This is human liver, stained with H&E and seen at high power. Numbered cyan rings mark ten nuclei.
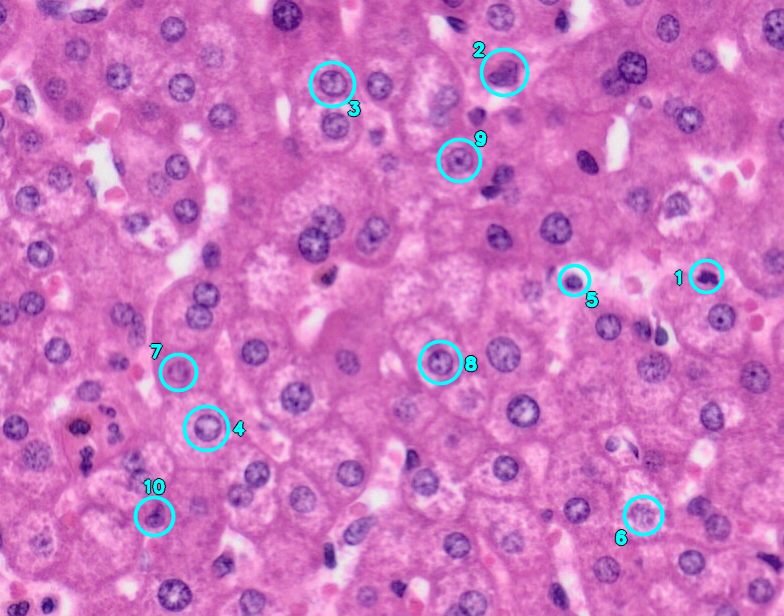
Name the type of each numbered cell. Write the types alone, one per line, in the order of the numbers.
fibroblast or stellate cell
Kupffer cell
hepatocyte
hepatocyte
lymphocyte
hepatocyte
hepatocyte
hepatocyte
hepatocyte
endothelial cell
